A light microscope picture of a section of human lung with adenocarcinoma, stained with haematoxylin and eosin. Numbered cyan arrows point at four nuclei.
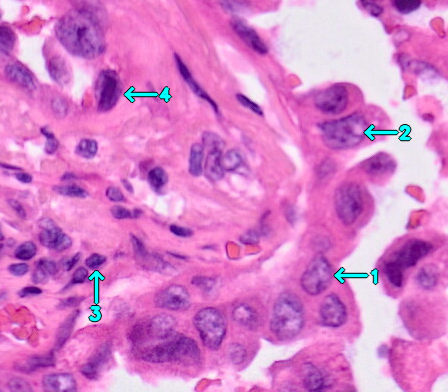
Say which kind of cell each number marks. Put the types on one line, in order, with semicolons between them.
carcinoma cell; carcinoma cell; lymphocyte; carcinoma cell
